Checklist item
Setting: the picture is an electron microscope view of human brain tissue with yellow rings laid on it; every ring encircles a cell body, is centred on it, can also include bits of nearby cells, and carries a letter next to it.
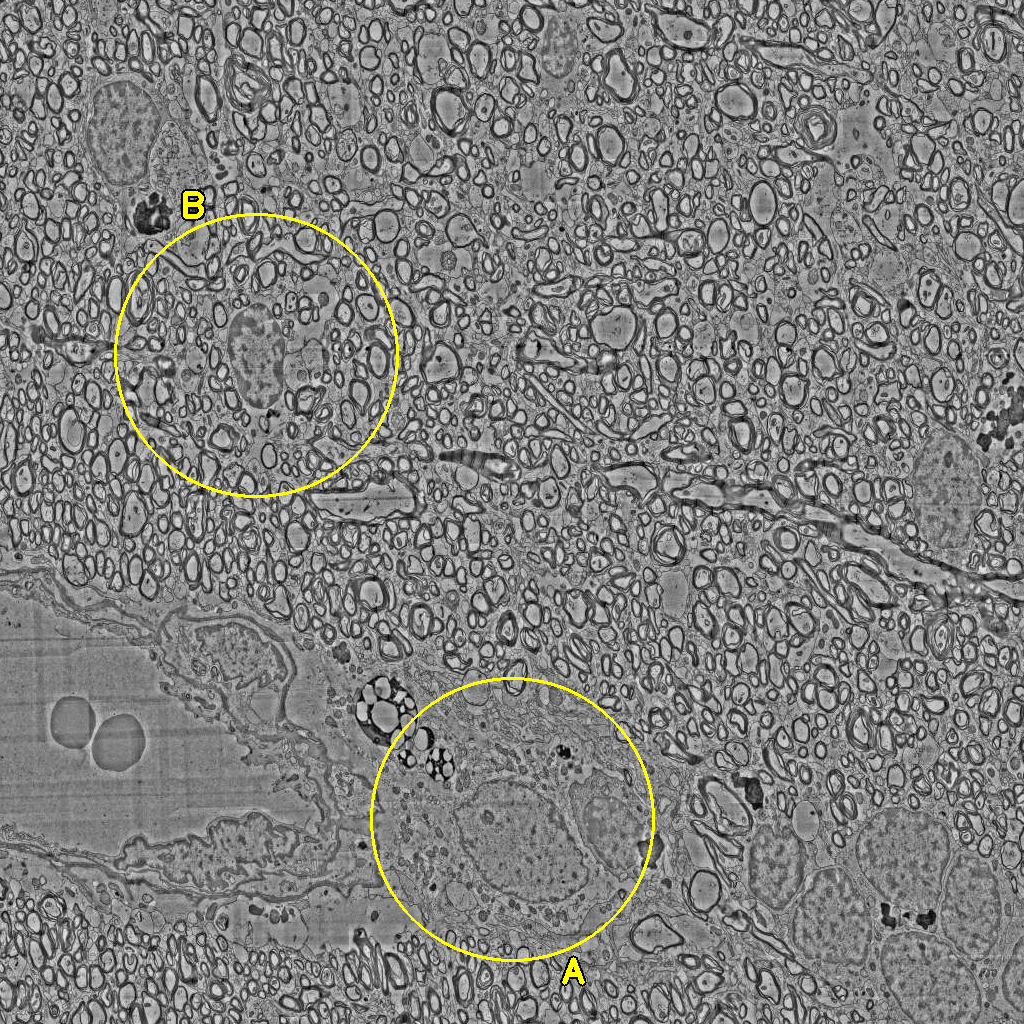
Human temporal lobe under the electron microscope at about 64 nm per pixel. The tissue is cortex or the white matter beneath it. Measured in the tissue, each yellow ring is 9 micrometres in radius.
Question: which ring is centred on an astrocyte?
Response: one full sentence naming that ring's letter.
My response is that ring A has the sought cell at its centre.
